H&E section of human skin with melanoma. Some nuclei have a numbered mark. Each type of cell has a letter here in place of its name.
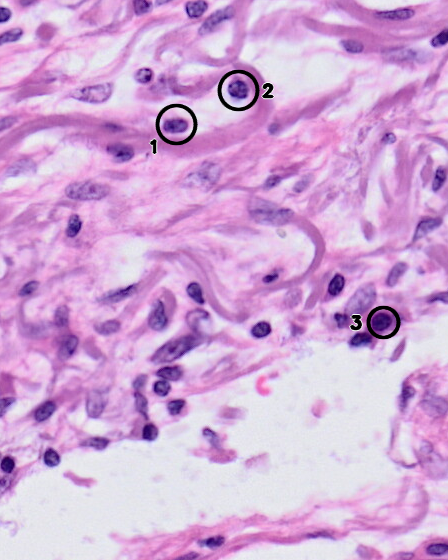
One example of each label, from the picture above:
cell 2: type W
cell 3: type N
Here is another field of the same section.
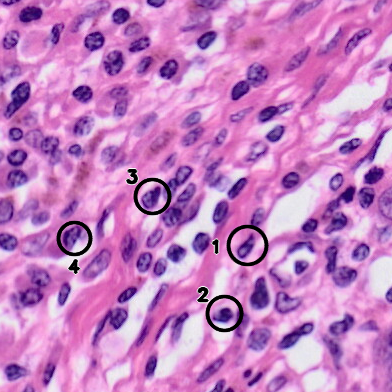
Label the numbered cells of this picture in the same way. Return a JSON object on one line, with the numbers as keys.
{"1": "type W", "2": "type W", "3": "type W", "4": "type N"}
